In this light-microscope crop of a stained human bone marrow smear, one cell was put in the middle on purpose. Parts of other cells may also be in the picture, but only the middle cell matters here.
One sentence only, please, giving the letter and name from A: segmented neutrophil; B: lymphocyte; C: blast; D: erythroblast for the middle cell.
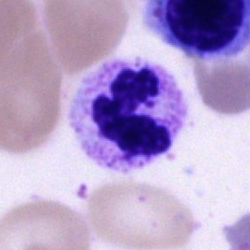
The cell occupying the centre is a segmented neutrophil; option A is thus the correct choice.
